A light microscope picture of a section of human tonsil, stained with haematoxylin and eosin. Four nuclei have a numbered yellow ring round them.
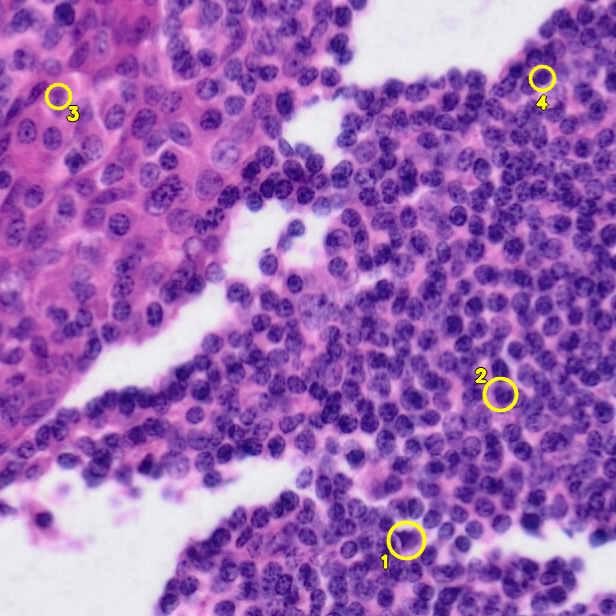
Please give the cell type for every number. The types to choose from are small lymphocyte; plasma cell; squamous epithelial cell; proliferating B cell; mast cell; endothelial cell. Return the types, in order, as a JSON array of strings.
["small lymphocyte", "small lymphocyte", "plasma cell", "small lymphocyte"]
